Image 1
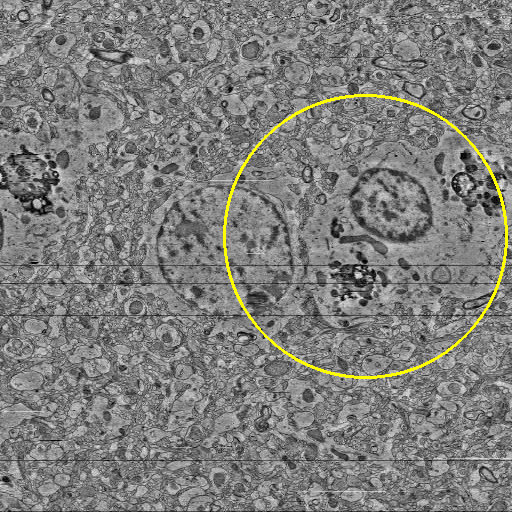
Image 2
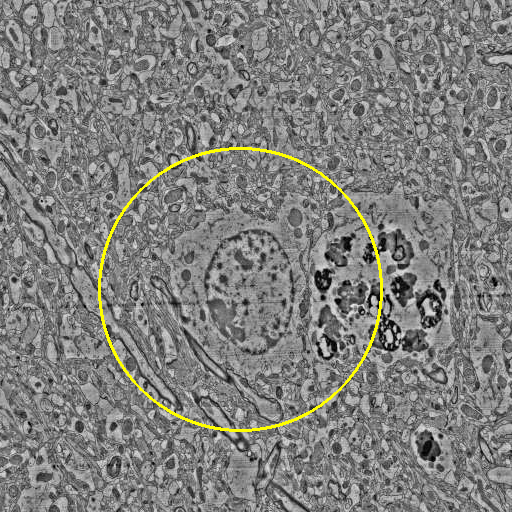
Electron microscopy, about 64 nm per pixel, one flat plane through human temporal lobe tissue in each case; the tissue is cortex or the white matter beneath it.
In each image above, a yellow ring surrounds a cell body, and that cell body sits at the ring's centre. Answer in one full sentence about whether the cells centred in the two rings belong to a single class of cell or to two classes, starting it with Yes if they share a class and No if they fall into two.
Yes, the cells centred in the two yellow rings belong to a single class of cell.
